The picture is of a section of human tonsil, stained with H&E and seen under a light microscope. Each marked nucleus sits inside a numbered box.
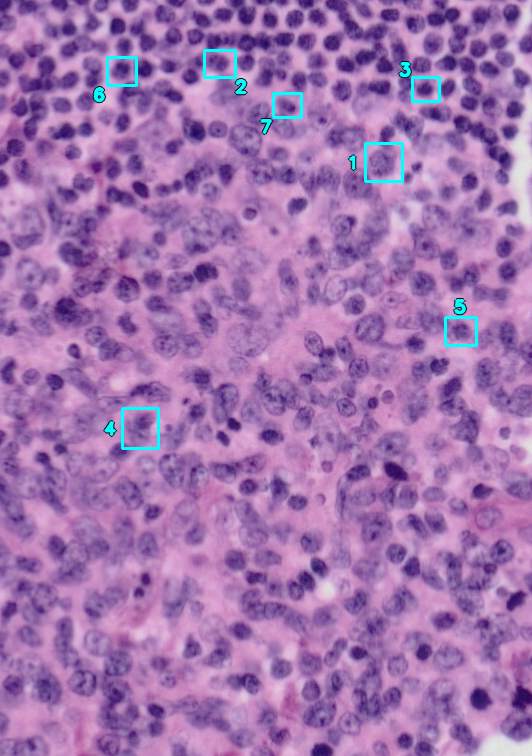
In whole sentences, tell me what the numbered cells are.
Cell 1 is a proliferating B cell, cell 2 is a small lymphocyte, cell 3 is a small lymphocyte, cell 4 is a proliferating B cell, cell 5 is a proliferating B cell, cell 6 is a small lymphocyte and cell 7 is a proliferating B cell.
